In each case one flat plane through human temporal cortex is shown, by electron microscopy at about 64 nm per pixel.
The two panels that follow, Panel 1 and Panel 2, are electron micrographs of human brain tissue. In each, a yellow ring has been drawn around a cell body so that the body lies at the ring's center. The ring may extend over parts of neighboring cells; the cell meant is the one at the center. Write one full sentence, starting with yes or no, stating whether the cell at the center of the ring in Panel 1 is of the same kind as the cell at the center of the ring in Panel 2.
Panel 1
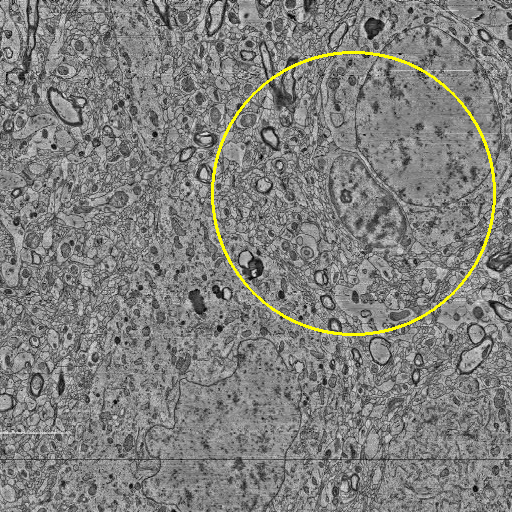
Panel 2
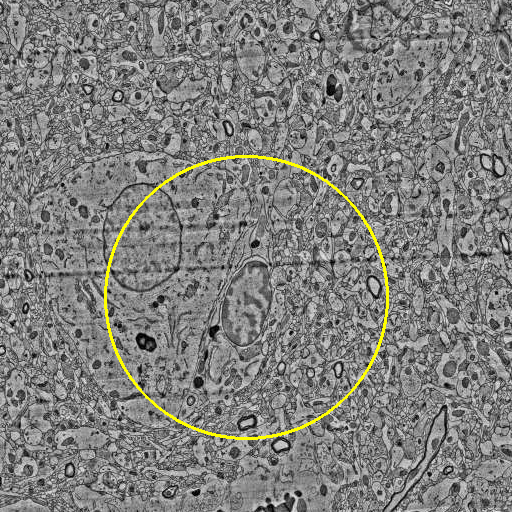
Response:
No, the cells in the two panels are of two kinds.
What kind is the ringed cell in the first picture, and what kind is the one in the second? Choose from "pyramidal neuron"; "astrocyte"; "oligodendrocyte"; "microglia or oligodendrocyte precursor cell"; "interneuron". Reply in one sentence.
The first cell is an oligodendrocyte; the second is a microglial cell or oligodendrocyte precursor cell.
